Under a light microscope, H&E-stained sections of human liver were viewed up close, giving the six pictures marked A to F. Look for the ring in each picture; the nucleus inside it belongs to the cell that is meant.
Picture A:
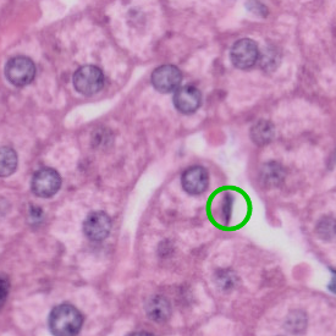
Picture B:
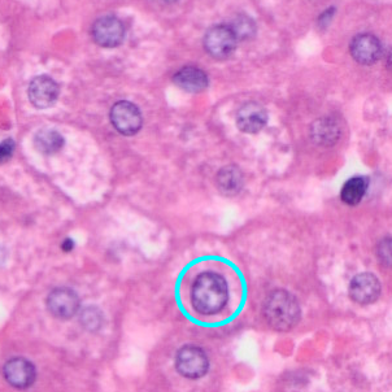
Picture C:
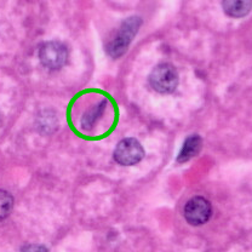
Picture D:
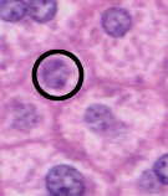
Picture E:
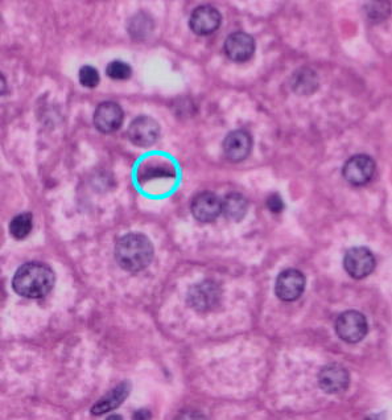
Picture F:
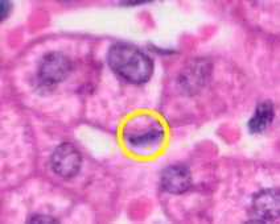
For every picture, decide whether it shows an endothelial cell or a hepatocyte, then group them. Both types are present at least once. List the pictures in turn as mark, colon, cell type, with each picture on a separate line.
A: endothelial cell
B: hepatocyte
C: endothelial cell
D: hepatocyte
E: endothelial cell
F: endothelial cell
